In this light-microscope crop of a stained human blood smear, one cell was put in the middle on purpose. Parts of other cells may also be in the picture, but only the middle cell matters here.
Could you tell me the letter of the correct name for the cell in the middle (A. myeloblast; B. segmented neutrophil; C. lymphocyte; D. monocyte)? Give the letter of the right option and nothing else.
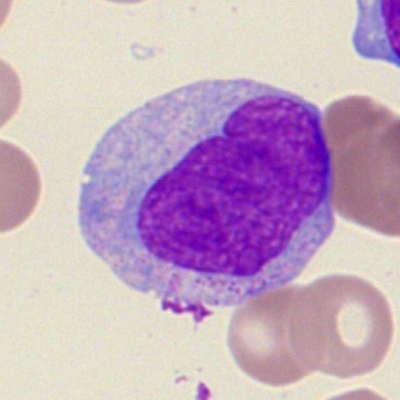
D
